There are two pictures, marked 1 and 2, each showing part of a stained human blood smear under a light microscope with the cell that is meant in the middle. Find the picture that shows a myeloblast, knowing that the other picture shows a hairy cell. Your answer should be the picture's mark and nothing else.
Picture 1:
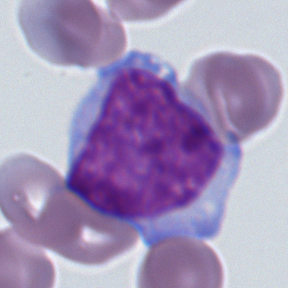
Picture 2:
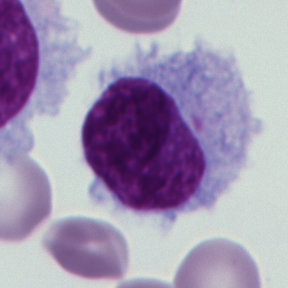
1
